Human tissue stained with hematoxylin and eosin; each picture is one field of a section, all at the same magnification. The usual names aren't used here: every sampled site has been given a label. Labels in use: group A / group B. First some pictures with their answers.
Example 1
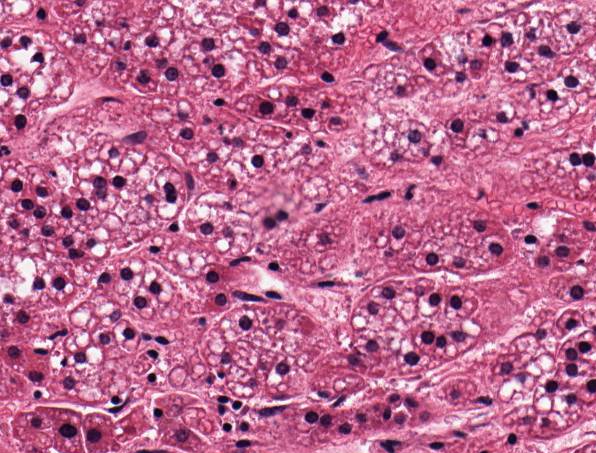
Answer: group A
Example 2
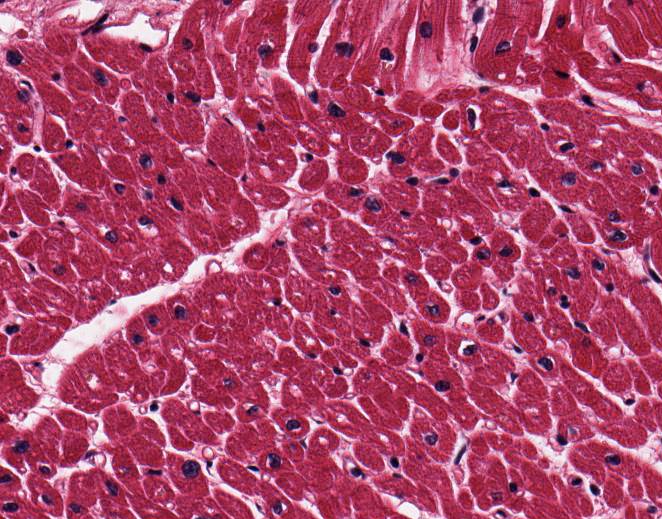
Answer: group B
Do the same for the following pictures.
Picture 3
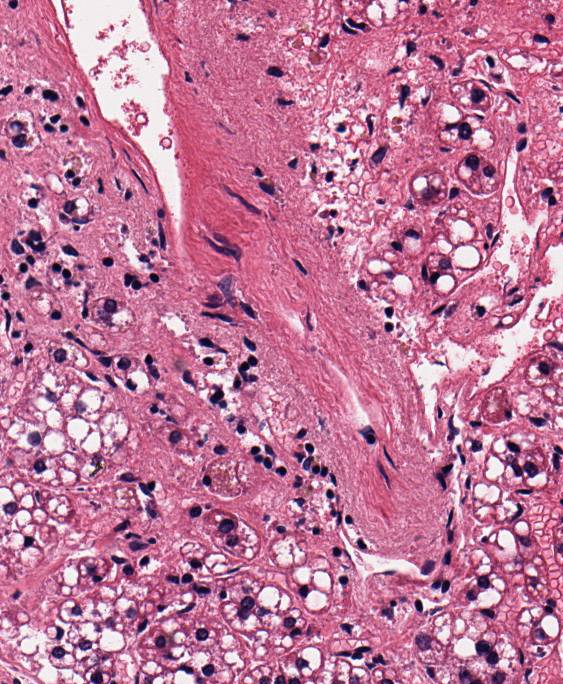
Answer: group A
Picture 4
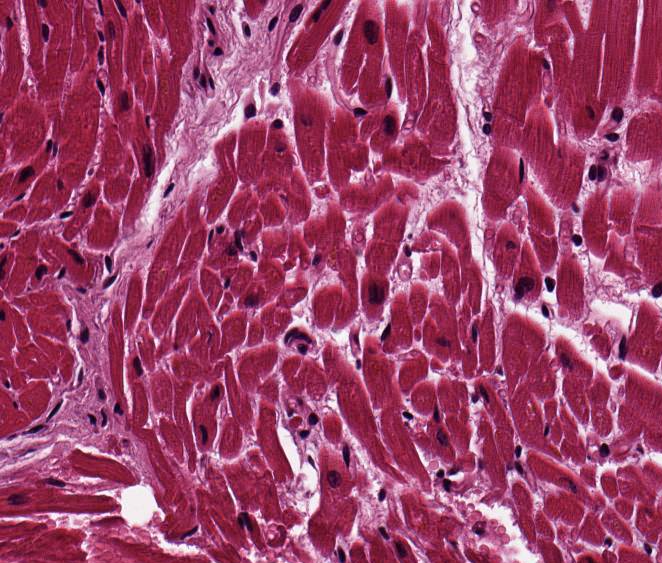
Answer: group B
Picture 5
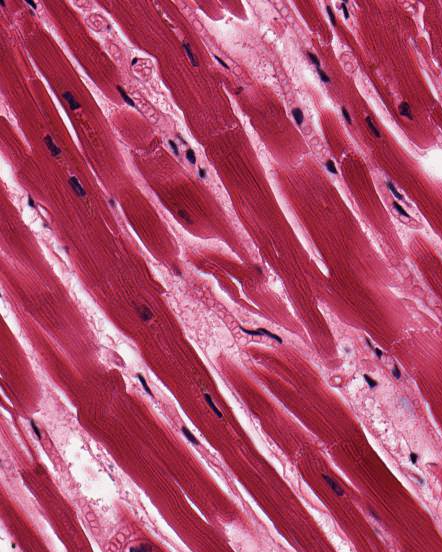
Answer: group B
